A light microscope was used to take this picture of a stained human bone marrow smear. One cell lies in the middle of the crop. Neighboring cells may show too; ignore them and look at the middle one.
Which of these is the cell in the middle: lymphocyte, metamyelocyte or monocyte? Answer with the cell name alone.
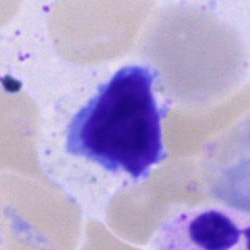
lymphocyte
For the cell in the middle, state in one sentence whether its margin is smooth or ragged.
Its outline is ragged or drawn out into projections, not smooth.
